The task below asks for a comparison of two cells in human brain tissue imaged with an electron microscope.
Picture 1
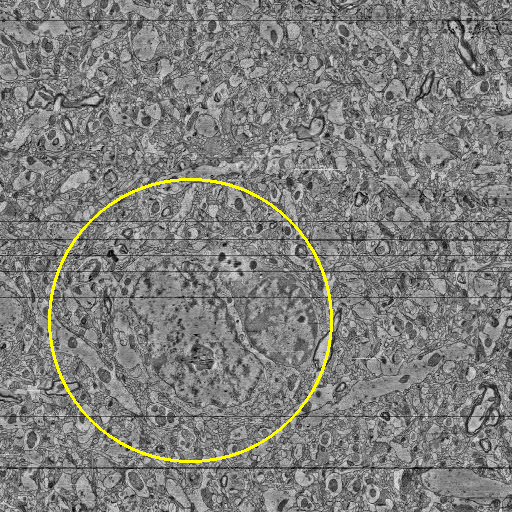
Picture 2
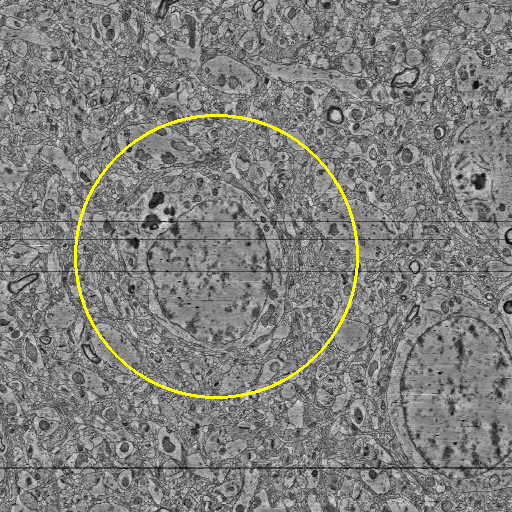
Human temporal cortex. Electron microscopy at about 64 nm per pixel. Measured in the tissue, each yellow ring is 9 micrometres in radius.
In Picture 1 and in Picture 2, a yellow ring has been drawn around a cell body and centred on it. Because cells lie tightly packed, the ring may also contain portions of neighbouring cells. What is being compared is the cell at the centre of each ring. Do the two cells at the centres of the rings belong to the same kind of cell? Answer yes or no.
yes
